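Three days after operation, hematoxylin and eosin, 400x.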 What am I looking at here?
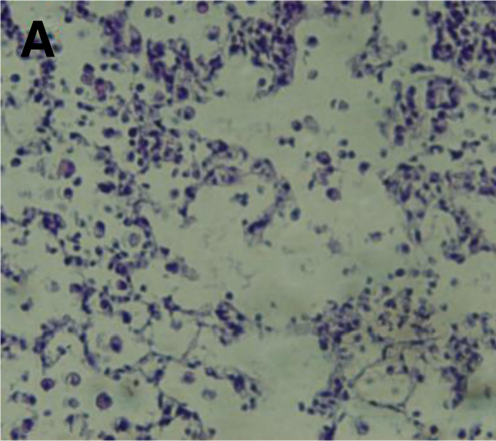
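This is lung tissue in which the alveolar septa are widened: the walls between air spaces are thick and crowded with many dark purple nuclei, so the delicate lace of normal lung is lost in places. Within the air spaces lie numerous free cells. Some are large and rounded with a pale or pinkish cytoplasm and a round nucleus, the alveolar macrophages; smaller cells with dark, compact nuclei are also scattered among them, consistent with inflammatory cells such as neutrophils. The air spaces are irregular in shape and partly filled, and the tissue looks disorganised compared with healthy lung.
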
